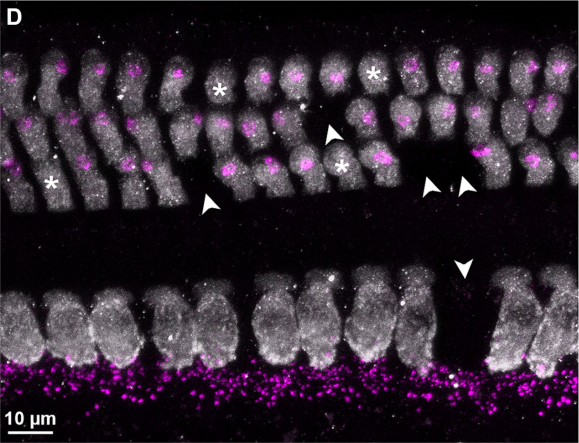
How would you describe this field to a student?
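This organ of Corti shows gray hair cells in three upper rows and one lower row, but the rows are interrupted by empty gaps where hair cells are missing. Most upper-row cells carry a magenta terminal spot, while a few lack it, and a band of magenta puncta still lines the base of the lower row.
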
